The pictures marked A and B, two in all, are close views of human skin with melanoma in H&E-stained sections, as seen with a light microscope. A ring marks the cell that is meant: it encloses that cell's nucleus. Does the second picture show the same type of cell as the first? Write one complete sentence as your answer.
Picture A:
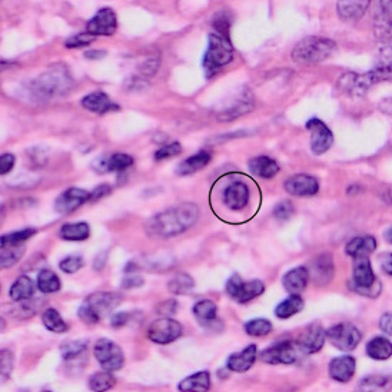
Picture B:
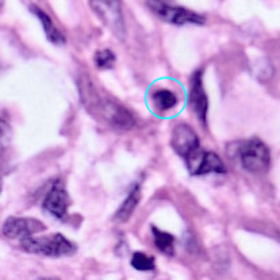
No, the types are not the same, since picture A shows a plasma cell and picture B a lymphocyte.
